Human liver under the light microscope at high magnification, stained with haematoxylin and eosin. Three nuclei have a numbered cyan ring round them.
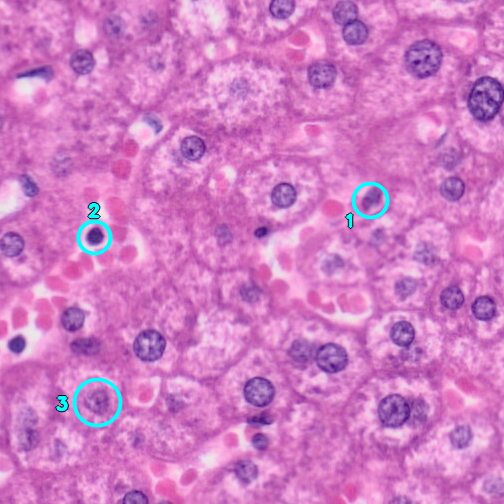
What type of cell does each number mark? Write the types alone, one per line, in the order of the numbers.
Kupffer cell
lymphocyte
hepatocyte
